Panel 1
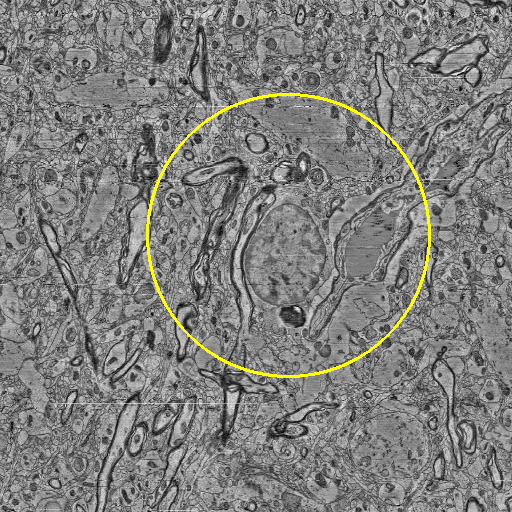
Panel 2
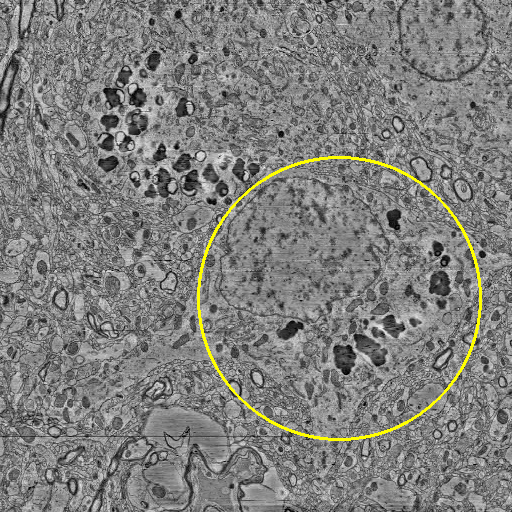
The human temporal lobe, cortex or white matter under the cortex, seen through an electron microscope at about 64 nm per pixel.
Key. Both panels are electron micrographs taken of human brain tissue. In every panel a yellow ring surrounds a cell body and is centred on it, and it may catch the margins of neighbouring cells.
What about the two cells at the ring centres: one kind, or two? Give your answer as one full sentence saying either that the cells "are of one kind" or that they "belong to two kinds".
Across Panels 1 and 2, the two cells at the ring centres belong to two kinds.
